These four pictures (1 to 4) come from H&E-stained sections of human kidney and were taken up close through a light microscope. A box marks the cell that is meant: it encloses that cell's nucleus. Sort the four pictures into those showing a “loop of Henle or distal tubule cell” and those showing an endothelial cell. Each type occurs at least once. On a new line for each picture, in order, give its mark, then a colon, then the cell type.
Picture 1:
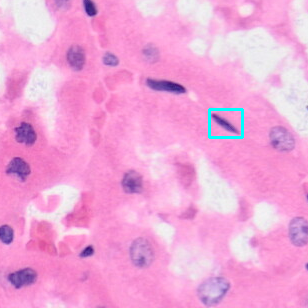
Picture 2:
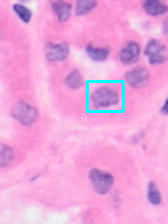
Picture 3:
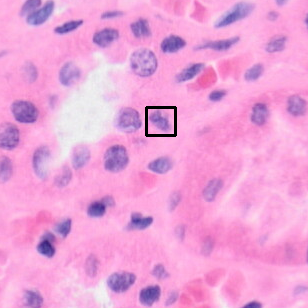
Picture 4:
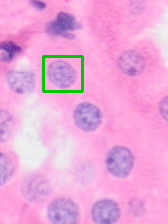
1: endothelial cell
2: loop of Henle or distal tubule cell
3: loop of Henle or distal tubule cell
4: loop of Henle or distal tubule cell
